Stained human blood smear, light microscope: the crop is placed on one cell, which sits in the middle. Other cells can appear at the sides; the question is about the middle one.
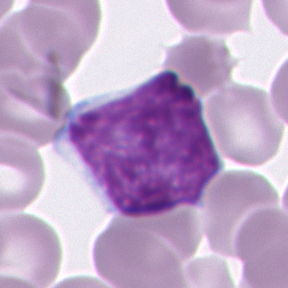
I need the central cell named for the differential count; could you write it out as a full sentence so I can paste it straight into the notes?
For this crop, the cell in the middle is a lymphocyte.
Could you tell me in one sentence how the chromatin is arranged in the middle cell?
The chromatin is fine, with no coarse clumping anywhere.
